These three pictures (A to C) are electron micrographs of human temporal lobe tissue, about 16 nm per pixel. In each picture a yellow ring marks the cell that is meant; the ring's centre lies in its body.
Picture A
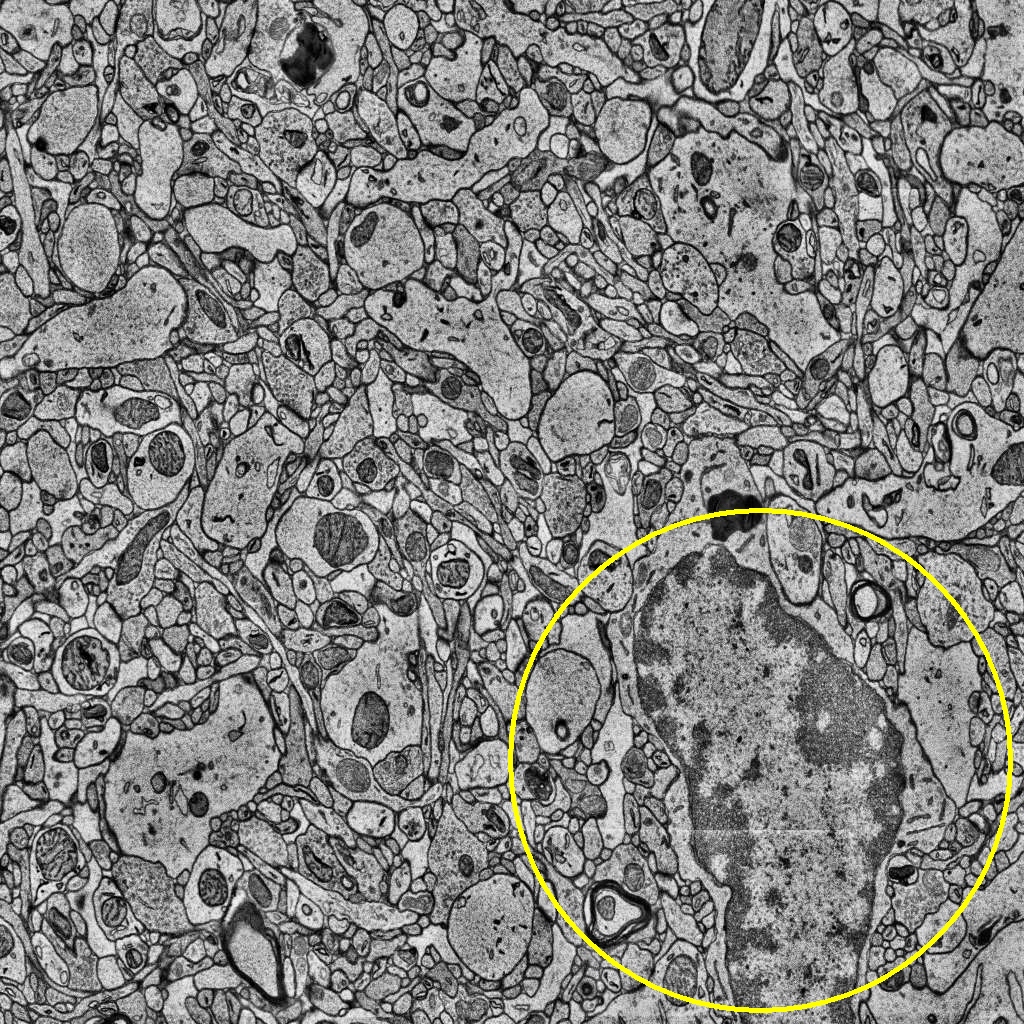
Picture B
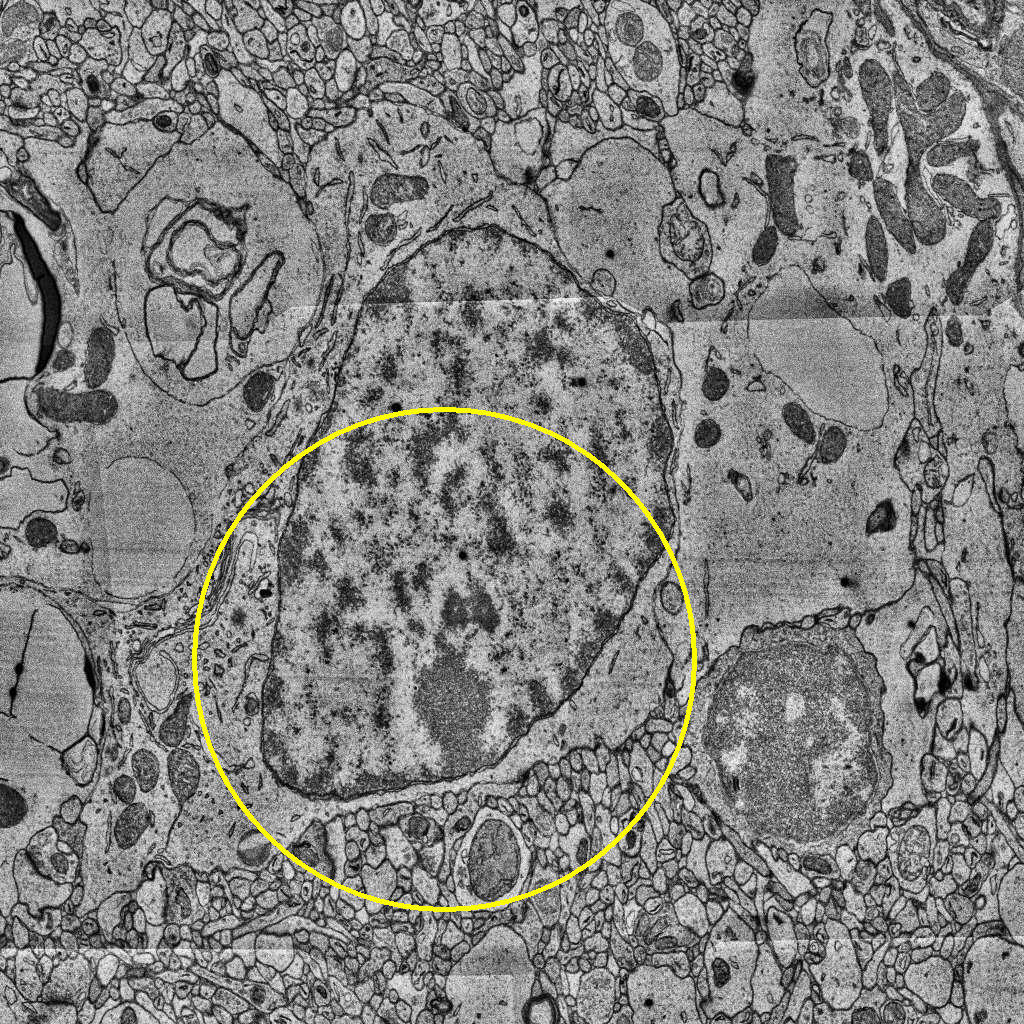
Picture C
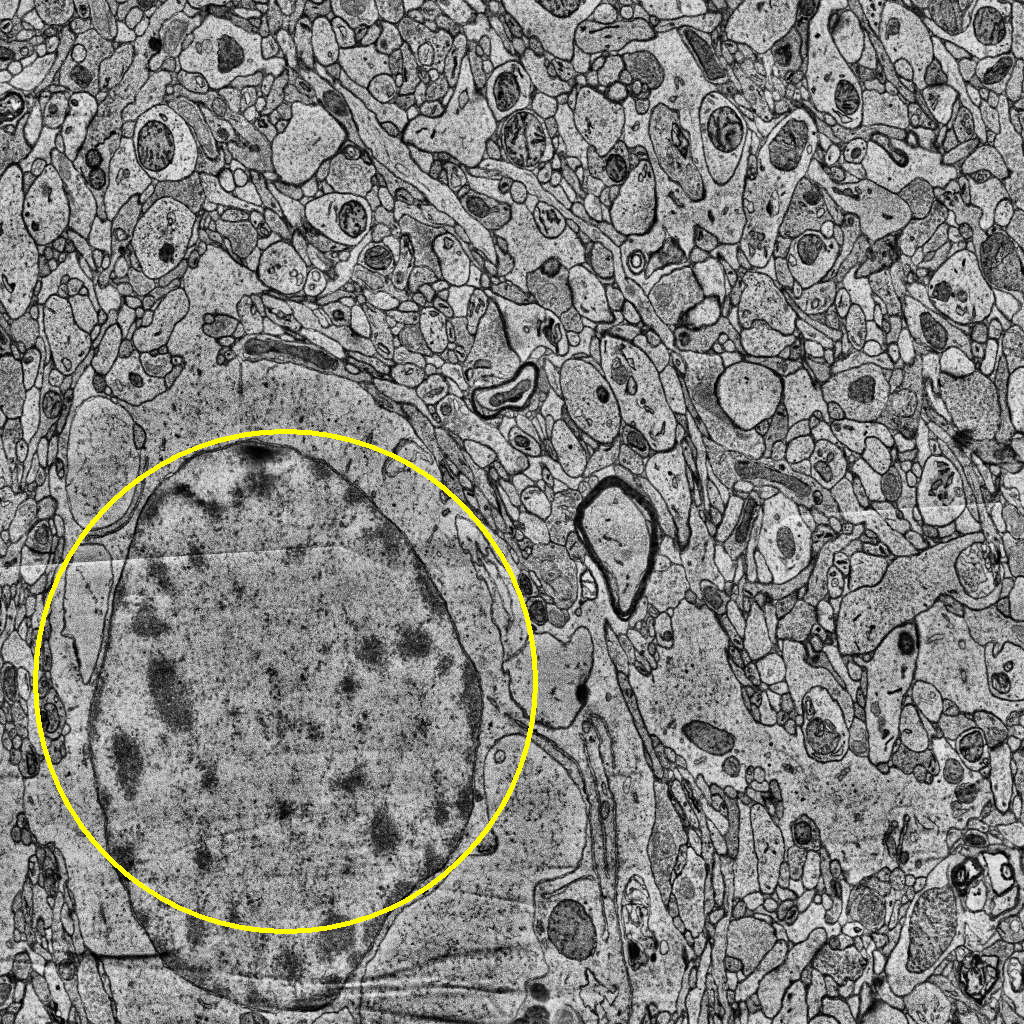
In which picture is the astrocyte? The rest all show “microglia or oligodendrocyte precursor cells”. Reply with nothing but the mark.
C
